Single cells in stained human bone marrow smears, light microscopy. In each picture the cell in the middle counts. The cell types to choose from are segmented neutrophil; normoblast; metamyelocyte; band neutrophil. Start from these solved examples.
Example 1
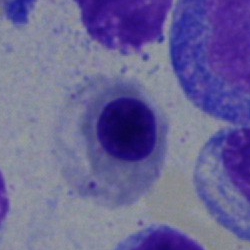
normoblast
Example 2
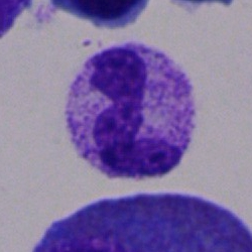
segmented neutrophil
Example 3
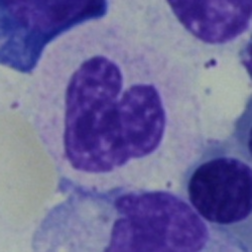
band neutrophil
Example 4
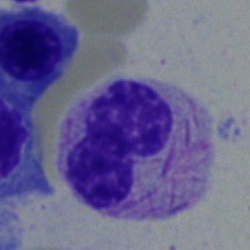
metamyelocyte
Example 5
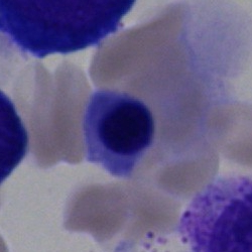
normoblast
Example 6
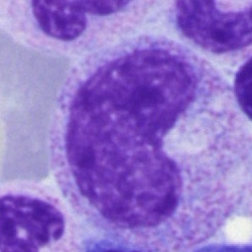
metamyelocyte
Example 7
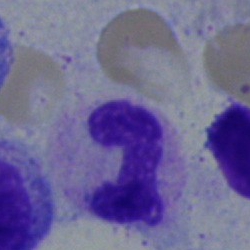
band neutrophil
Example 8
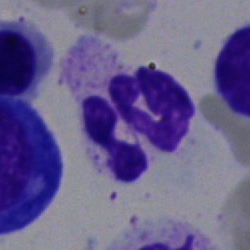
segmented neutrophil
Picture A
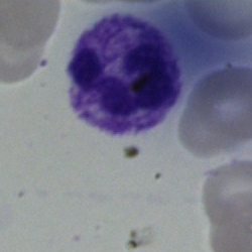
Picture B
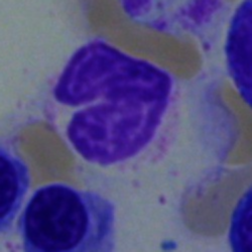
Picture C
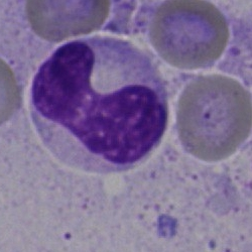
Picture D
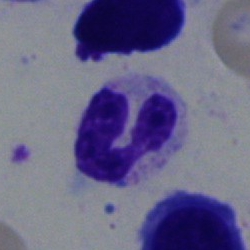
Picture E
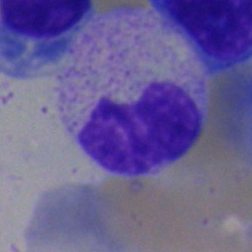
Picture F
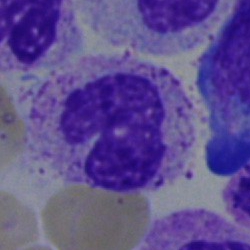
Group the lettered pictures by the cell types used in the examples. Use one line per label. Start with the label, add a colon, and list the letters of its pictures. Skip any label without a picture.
segmented neutrophil: A, D
metamyelocyte: E
band neutrophil: B, C, F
